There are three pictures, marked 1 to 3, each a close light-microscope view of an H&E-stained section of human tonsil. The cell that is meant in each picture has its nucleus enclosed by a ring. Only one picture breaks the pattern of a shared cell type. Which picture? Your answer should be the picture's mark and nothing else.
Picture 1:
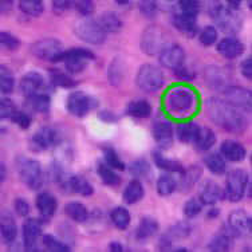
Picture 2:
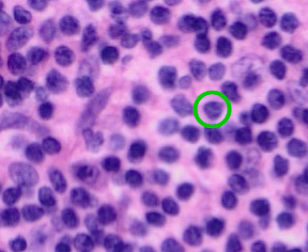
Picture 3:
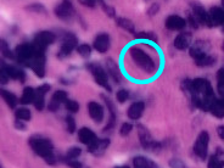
2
